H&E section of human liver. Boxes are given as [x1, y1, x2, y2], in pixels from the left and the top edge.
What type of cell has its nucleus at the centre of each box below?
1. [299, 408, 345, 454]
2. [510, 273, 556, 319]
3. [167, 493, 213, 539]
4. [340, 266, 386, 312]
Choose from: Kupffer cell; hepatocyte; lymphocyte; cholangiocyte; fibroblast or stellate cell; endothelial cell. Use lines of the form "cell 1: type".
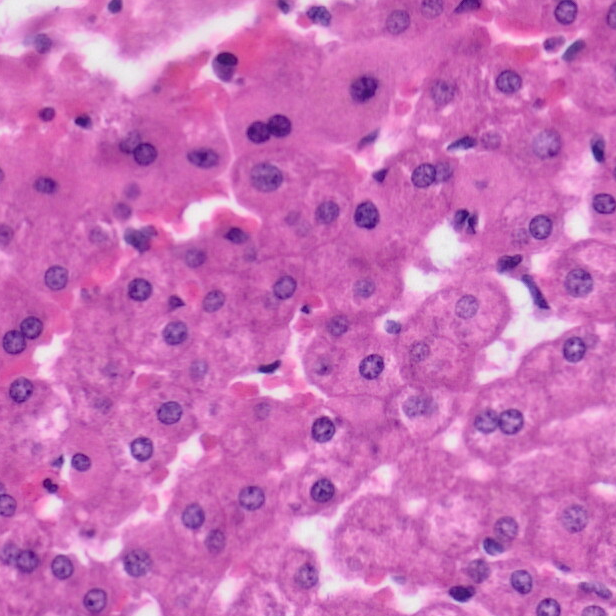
cell 1: hepatocyte
cell 2: Kupffer cell
cell 3: hepatocyte
cell 4: hepatocyte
